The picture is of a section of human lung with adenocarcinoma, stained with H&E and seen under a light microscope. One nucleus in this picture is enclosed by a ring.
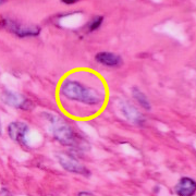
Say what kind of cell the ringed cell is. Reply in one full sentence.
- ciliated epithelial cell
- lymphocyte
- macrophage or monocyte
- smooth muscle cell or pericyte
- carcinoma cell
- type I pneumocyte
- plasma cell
Students should answer that the ringed cell is a smooth muscle cell or pericyte.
